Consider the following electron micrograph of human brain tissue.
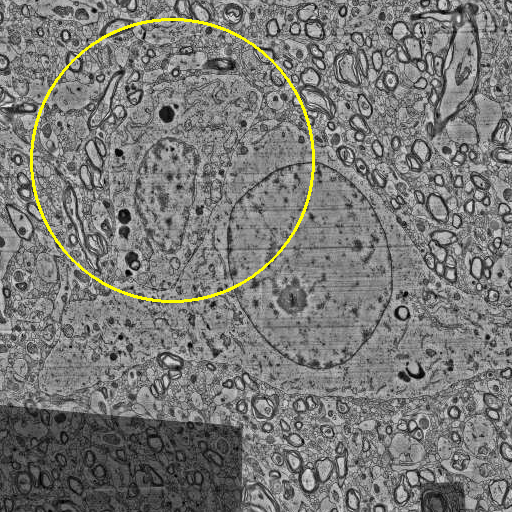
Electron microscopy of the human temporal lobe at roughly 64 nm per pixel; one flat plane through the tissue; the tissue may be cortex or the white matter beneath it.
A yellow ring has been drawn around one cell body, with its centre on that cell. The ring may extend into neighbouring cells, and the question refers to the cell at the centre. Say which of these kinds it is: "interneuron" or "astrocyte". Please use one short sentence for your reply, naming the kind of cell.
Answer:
The centre of the ring falls on an interneuron.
